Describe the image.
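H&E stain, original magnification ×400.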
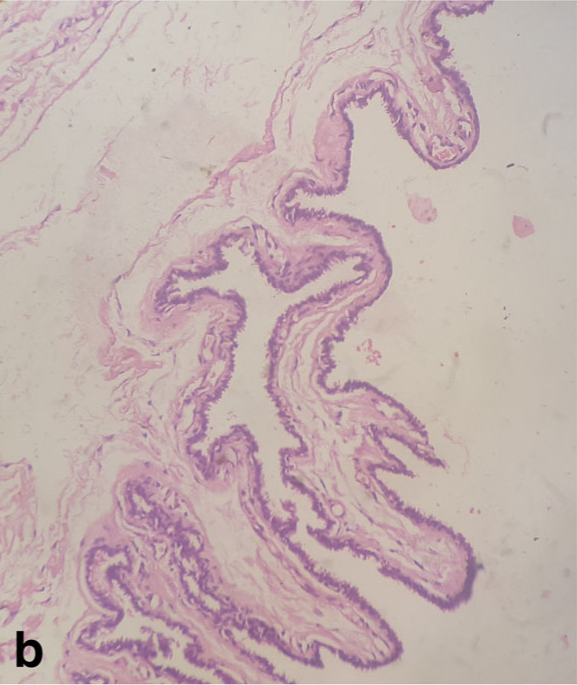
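A cyst wall lined by tall columnar epithelium, partly of the ciliated pseudostratified kind, covering folded, finger-like projections of loose, pale pink connective tissue. The epithelium forms one continuous lining. Its purple nuclei lie crowded at different heights, giving a layered look, and the free surface shows a fine fringe. The stroma beneath is loose and fibrous with few cells. It forms slender folds that stick out into an empty lumen. More loose connective tissue lies toward the upper left.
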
